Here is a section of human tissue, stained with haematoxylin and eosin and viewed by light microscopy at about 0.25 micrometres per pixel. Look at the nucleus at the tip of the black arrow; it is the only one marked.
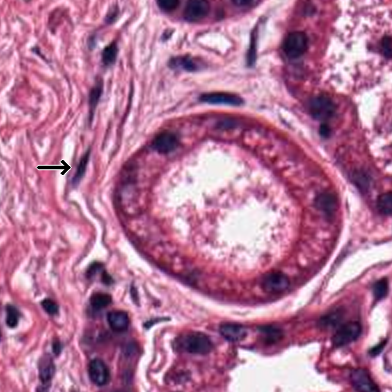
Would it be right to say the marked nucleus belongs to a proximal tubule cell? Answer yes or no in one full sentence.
No, the marked nucleus is the nucleus of a supporting cell rather than of a proximal tubule cell.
